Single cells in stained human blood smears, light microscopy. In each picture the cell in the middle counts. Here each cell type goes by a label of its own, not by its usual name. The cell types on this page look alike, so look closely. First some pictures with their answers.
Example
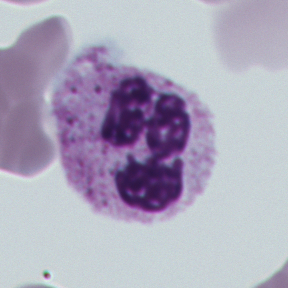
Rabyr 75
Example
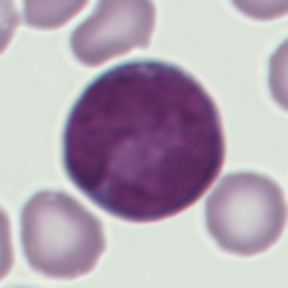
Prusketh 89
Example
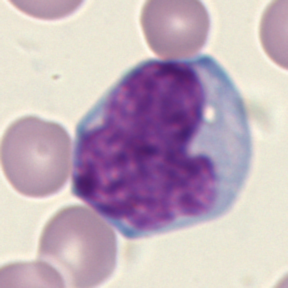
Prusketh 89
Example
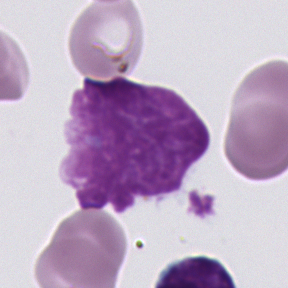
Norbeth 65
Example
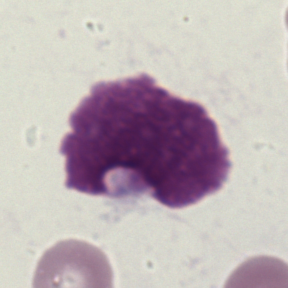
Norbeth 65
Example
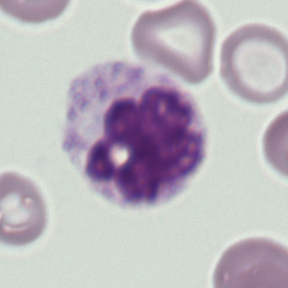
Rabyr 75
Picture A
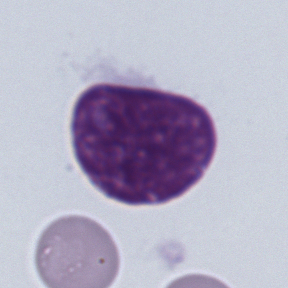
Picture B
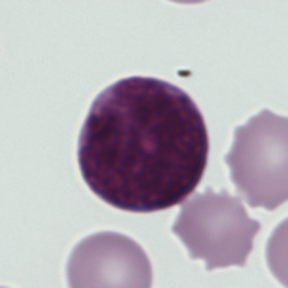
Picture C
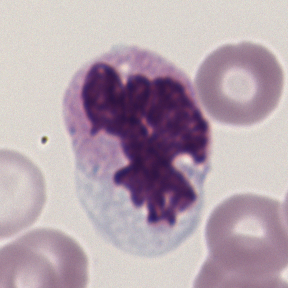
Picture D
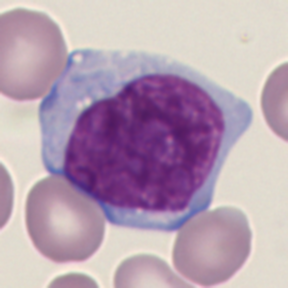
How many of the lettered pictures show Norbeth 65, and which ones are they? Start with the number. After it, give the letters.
1, namely A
